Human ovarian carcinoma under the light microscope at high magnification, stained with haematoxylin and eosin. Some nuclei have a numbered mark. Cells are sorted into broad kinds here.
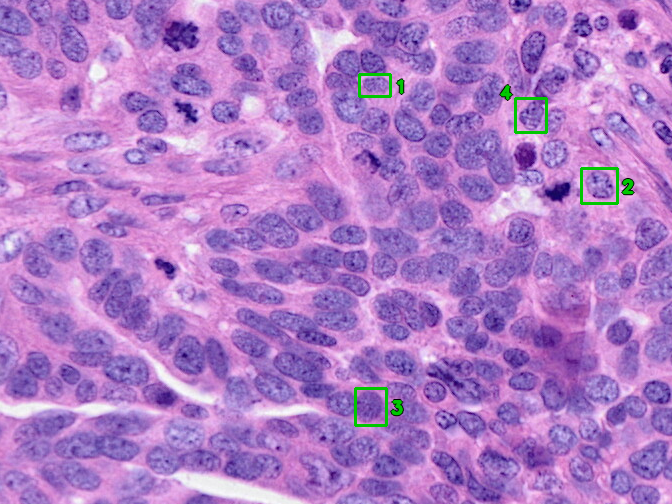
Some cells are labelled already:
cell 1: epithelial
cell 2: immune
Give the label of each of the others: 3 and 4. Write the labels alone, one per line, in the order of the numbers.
epithelial
immune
